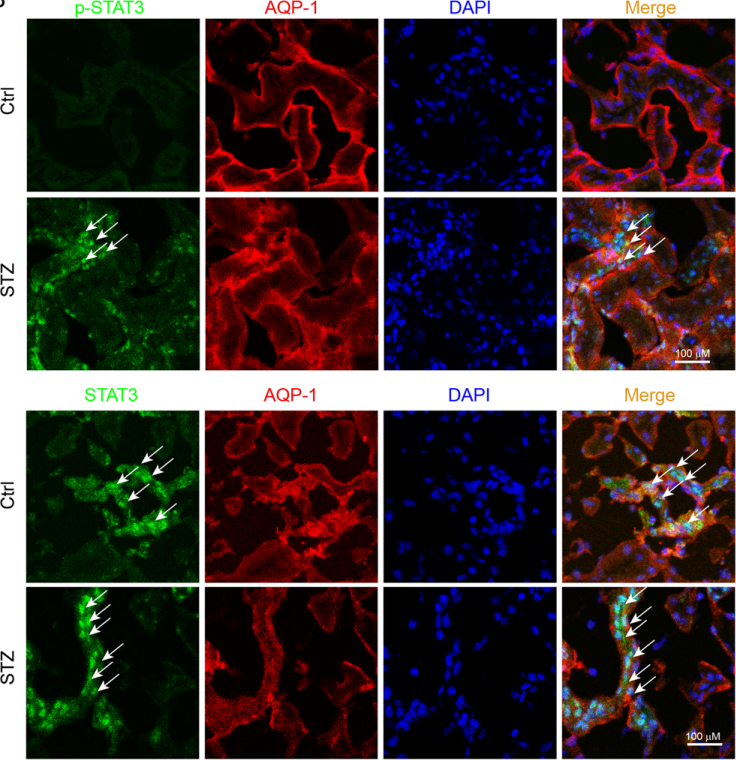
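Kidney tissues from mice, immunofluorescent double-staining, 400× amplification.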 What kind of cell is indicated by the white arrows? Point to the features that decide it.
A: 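The red stain outlines branching tubular profiles. The marked nuclei lie in the epithelium of these tubules. The answer: renal tubule cells.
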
